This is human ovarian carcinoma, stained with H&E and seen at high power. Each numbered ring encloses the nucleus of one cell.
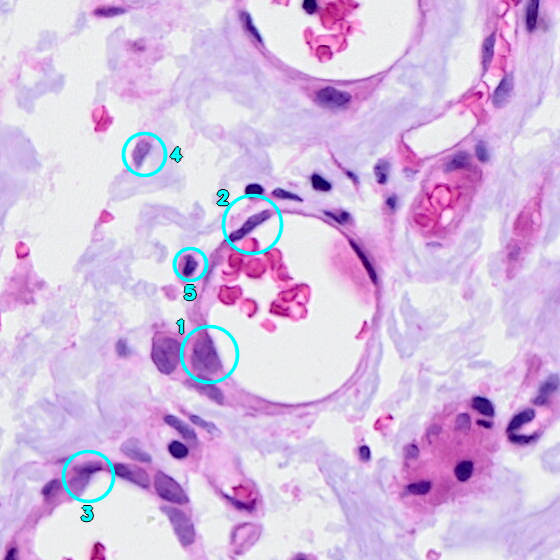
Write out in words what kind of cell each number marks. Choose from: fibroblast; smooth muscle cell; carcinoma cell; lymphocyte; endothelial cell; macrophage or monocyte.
Cell 1 is an endothelial cell, cell 2 is an endothelial cell, cell 3 is an endothelial cell, cell 4 is a fibroblast and cell 5 is a macrophage or monocyte.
